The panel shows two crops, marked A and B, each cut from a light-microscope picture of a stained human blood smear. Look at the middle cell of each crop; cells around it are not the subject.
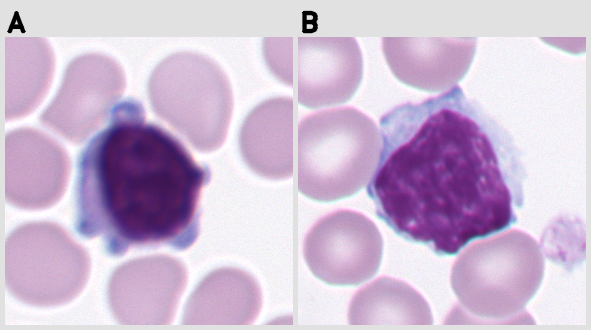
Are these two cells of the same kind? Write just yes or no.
yes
